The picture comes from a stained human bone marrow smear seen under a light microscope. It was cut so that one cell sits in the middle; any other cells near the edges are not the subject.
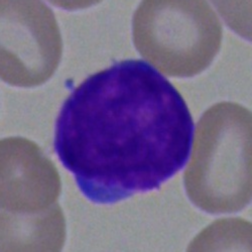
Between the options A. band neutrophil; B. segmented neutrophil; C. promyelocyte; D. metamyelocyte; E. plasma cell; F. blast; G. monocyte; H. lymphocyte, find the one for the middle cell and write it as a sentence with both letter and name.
Option F is the correct option, with the middle cell being a blast.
